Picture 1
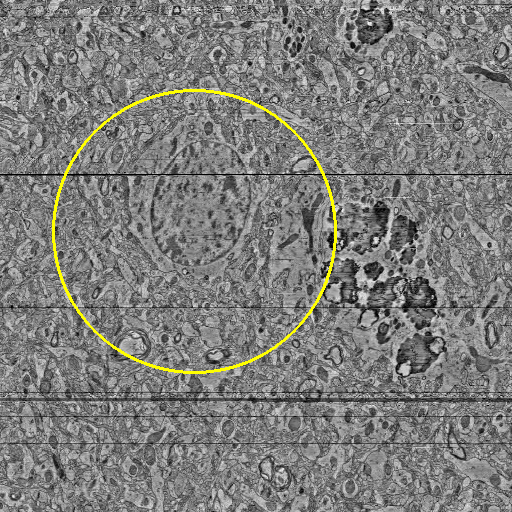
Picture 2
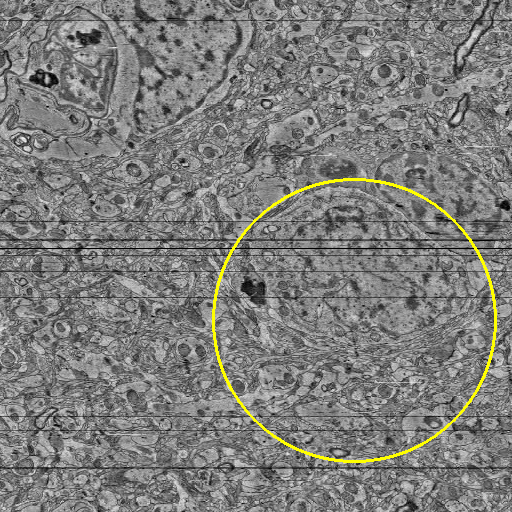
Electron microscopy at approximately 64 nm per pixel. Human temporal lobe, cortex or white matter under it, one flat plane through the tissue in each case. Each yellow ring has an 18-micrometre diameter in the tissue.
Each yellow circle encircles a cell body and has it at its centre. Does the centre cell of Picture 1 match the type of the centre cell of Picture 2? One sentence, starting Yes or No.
No, the cell centred in Picture 1 and the one in Picture 2 have separate types.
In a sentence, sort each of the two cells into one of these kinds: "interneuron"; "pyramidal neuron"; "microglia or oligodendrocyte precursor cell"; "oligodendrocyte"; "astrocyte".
The first of the two cells is an astrocyte, and the second is an interneuron.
